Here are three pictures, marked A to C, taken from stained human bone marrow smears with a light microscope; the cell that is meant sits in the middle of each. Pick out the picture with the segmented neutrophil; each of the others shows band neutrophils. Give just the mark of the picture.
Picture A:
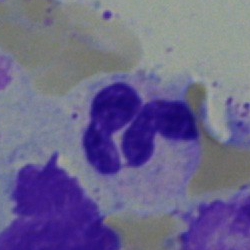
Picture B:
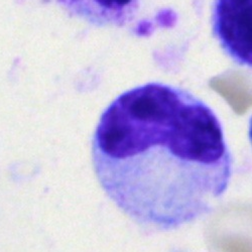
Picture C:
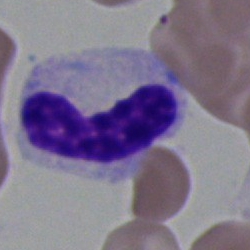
A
